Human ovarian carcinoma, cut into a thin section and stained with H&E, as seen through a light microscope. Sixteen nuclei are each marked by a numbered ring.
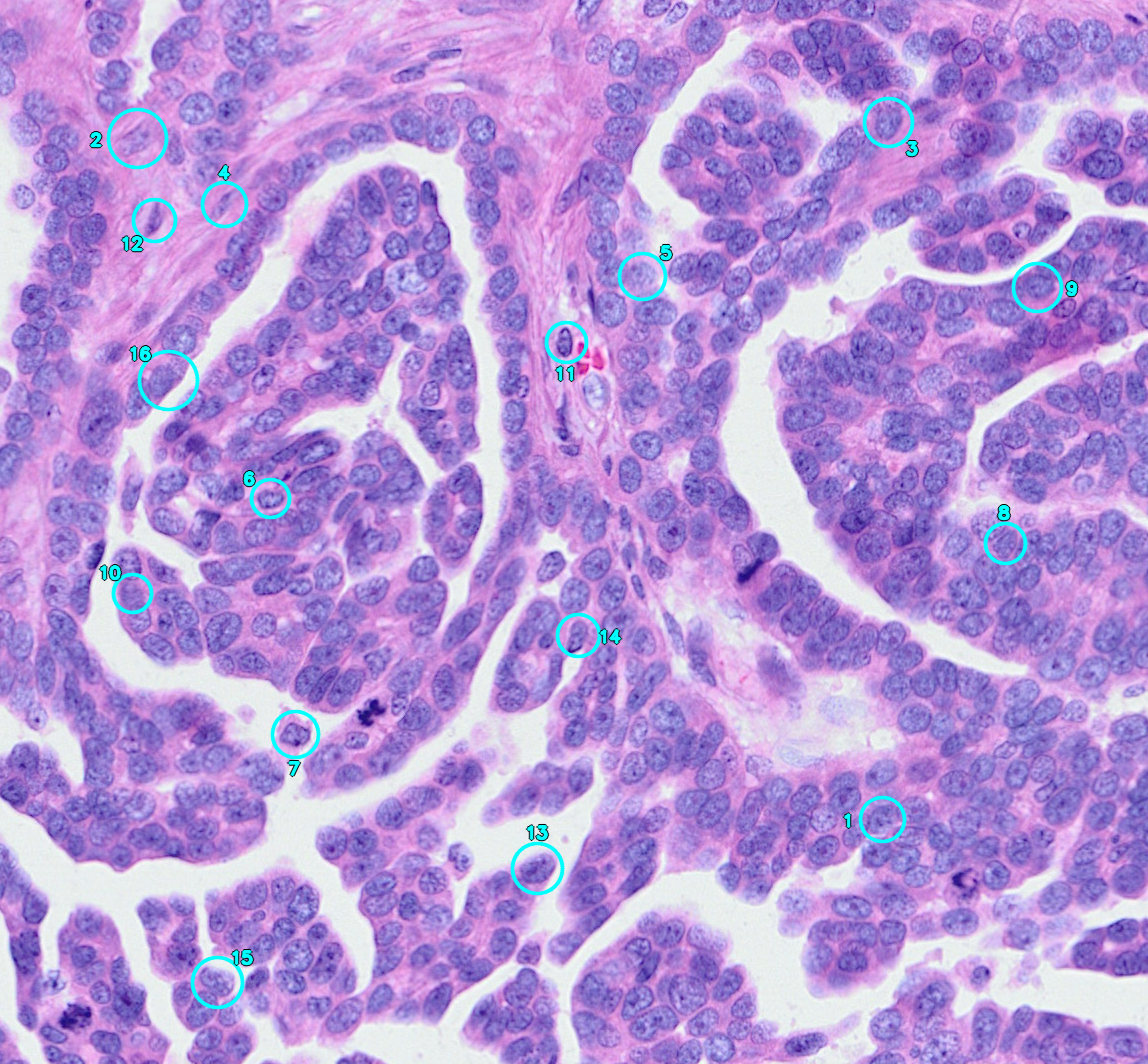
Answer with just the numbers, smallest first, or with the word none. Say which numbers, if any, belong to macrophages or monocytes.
6, 7, 11, 14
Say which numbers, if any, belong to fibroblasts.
2, 4, 12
